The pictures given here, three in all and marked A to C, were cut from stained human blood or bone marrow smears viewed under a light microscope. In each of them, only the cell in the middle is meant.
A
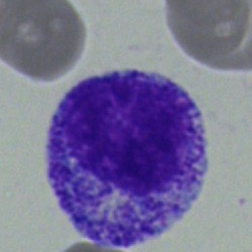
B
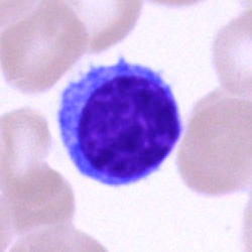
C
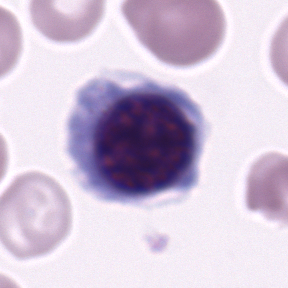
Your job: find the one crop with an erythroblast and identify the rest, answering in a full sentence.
Crop C counts as an erythroblast, while crop A is a myelocyte and crop B is a lymphocyte.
